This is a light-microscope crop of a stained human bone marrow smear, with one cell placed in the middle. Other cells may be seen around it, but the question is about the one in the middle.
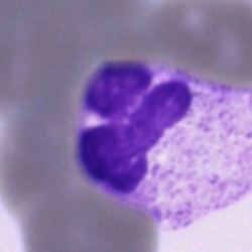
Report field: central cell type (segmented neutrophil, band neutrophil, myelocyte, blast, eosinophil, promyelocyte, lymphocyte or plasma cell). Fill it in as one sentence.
Occupying the centre of the crop is a segmented neutrophil.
